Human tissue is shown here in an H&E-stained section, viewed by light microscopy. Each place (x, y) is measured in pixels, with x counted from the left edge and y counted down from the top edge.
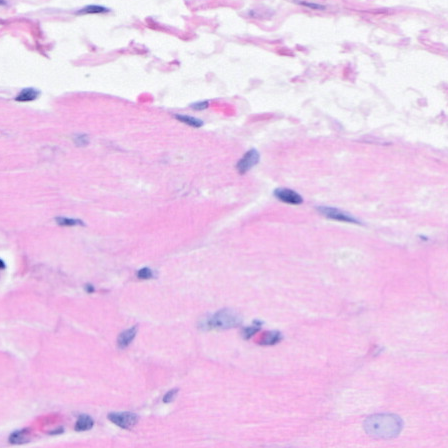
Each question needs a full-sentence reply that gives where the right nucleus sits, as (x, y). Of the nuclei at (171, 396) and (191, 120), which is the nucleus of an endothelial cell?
The nucleus contained in an endothelial cell is the one at (171, 396).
